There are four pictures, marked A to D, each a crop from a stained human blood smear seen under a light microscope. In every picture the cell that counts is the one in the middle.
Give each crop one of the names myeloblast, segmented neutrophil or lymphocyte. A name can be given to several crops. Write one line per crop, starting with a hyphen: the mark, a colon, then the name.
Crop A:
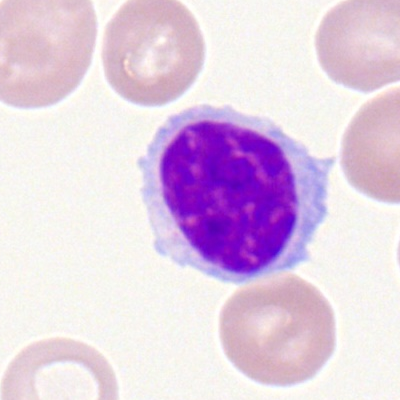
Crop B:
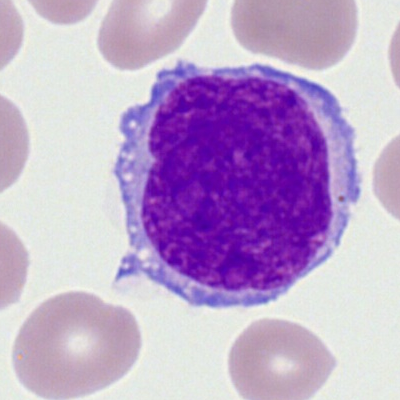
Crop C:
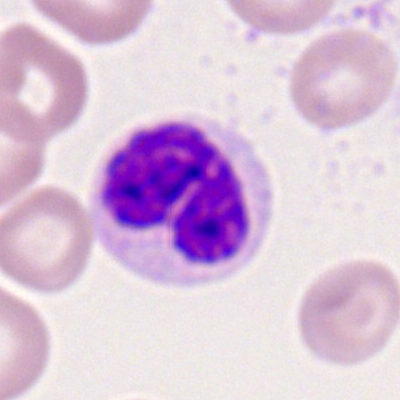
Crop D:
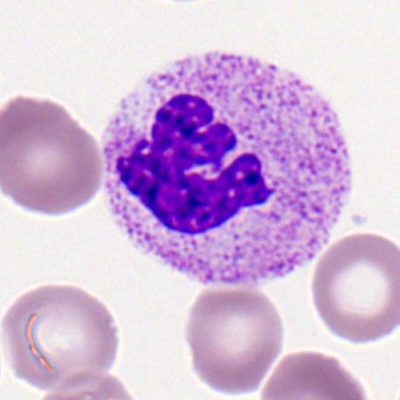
- A: lymphocyte
- B: myeloblast
- C: segmented neutrophil
- D: segmented neutrophil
